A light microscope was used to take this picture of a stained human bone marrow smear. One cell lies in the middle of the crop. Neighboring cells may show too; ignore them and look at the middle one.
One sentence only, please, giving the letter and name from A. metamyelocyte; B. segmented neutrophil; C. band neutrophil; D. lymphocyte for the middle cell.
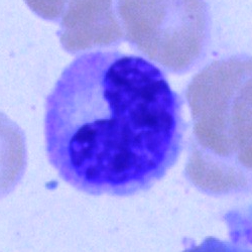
The cell at the centre is a metamyelocyte, and option A accordingly is correct.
